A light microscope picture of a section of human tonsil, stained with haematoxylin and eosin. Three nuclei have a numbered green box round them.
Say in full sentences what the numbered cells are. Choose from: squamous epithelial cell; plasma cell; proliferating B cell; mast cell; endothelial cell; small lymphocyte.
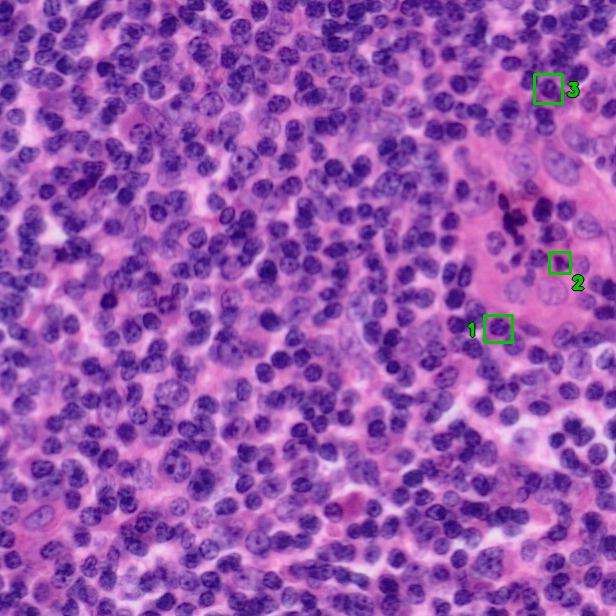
Cell 1 is a plasma cell, cell 2 is an endothelial cell and cell 3 is a plasma cell.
